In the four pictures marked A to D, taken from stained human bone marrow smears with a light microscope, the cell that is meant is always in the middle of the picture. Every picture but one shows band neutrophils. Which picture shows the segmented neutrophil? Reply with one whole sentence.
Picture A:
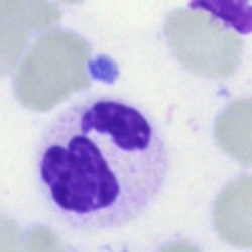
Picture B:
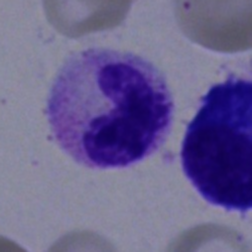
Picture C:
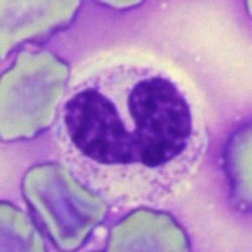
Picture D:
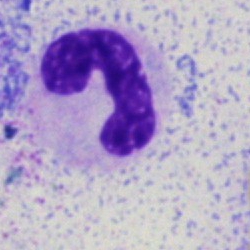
Picture A shows the segmented neutrophil.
